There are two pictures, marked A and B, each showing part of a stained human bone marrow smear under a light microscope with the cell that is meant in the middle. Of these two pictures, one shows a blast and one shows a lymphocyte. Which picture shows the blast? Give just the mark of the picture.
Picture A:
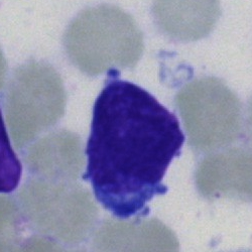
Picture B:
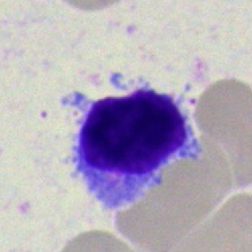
A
